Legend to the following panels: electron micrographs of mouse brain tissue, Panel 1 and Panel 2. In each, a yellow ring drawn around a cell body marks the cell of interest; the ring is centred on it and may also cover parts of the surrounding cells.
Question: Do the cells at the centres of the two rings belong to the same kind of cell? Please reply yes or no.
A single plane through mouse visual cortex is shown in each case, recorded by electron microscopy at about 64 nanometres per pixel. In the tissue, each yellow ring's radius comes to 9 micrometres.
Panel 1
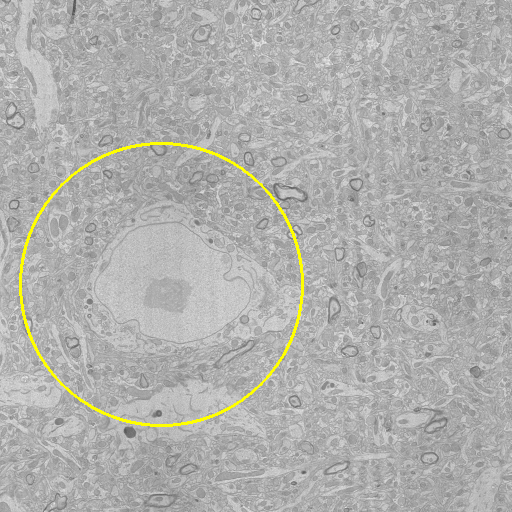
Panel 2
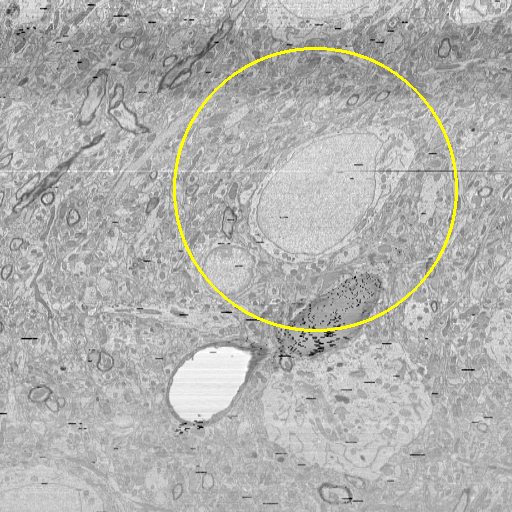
no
